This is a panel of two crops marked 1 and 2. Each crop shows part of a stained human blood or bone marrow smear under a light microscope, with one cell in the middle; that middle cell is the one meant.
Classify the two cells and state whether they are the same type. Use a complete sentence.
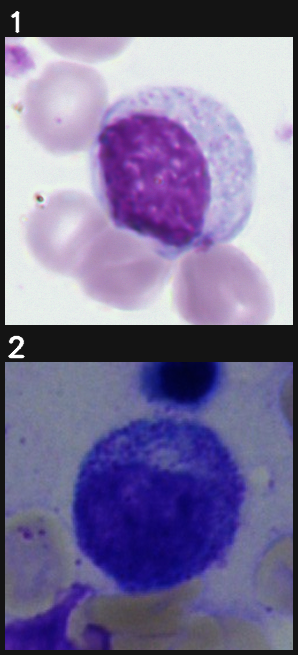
Yes, the central cells of both crops are myelocytes.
